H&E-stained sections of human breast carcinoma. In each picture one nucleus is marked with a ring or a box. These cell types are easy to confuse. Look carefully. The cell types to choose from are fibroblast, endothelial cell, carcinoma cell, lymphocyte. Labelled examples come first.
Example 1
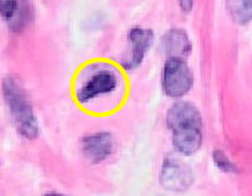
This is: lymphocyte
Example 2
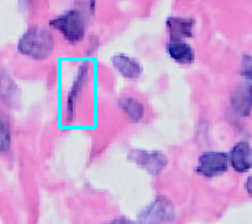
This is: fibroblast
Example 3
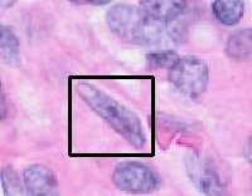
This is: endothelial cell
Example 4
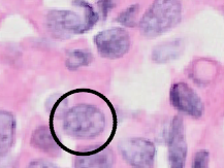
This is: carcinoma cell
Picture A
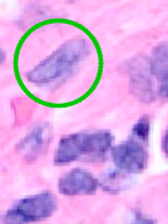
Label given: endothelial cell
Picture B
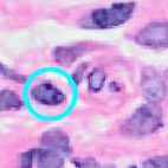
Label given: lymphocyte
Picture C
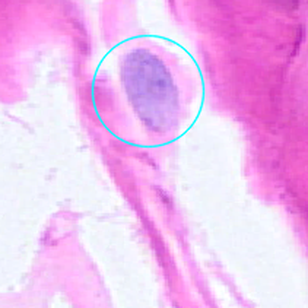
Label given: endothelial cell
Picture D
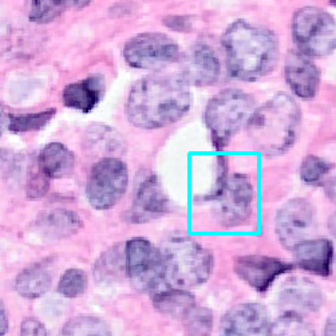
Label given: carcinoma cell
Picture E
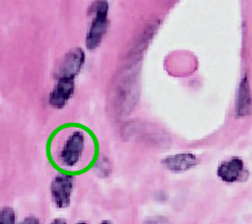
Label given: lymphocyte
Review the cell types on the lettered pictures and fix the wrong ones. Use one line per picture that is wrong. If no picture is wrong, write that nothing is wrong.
Wrong: C (endothelial cell); correct: fibroblast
